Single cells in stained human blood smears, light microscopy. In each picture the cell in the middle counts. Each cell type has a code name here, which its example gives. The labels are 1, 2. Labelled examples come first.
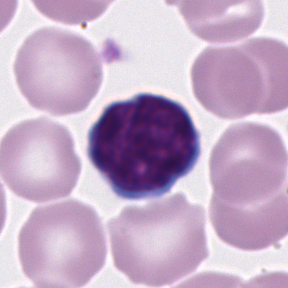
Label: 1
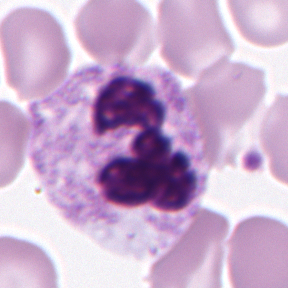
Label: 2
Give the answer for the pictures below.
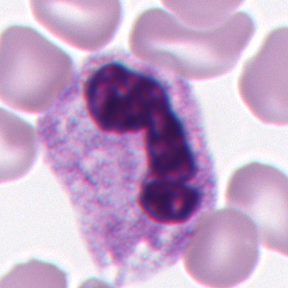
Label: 2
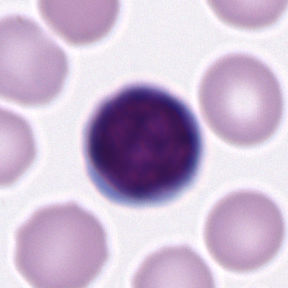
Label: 1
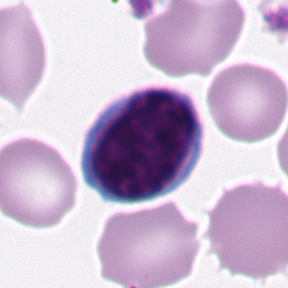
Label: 1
